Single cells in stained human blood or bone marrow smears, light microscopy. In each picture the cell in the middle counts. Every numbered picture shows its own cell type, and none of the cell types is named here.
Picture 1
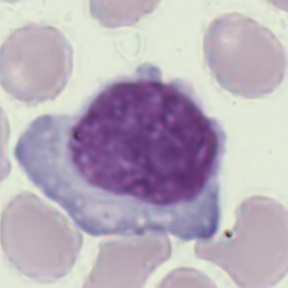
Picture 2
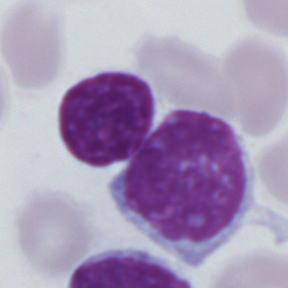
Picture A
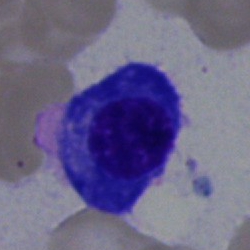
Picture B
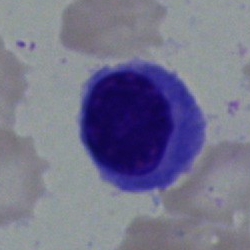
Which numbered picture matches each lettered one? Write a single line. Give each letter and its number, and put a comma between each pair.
A 1, B 1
